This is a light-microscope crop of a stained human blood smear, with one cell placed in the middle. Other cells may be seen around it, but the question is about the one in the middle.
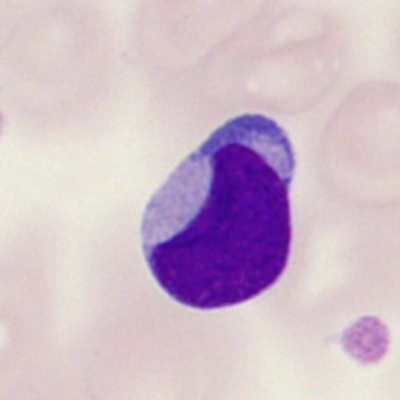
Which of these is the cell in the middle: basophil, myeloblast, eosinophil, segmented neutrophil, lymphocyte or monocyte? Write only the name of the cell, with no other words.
myeloblast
